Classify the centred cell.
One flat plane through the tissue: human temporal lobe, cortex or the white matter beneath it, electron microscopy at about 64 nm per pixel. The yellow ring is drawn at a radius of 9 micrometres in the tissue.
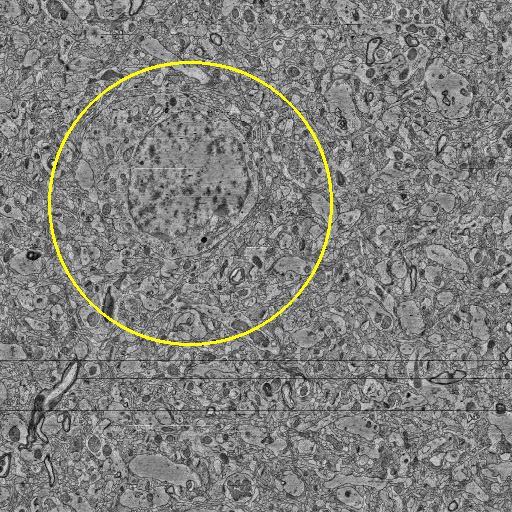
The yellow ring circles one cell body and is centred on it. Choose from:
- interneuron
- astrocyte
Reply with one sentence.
The ring is centred on an interneuron.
